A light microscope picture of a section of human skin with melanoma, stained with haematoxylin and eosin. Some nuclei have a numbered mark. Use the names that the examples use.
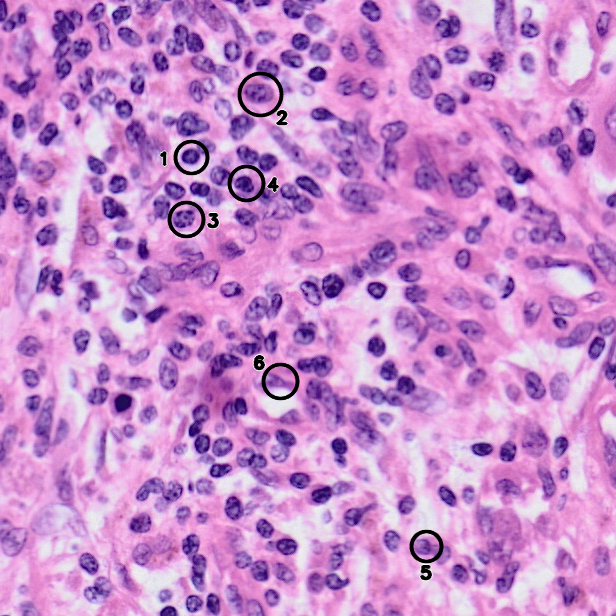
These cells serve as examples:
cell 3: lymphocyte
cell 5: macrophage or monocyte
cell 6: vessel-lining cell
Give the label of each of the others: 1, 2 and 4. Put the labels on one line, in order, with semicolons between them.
lymphocyte; macrophage or monocyte; lymphocyte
